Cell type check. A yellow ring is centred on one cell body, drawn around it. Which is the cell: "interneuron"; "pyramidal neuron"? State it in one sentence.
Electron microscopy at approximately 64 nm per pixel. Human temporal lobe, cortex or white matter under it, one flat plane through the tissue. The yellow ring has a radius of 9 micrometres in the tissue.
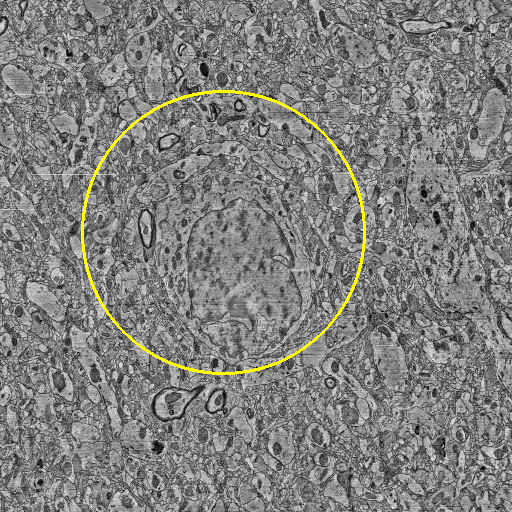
The cell body at the ring's centre belongs to an interneuron.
